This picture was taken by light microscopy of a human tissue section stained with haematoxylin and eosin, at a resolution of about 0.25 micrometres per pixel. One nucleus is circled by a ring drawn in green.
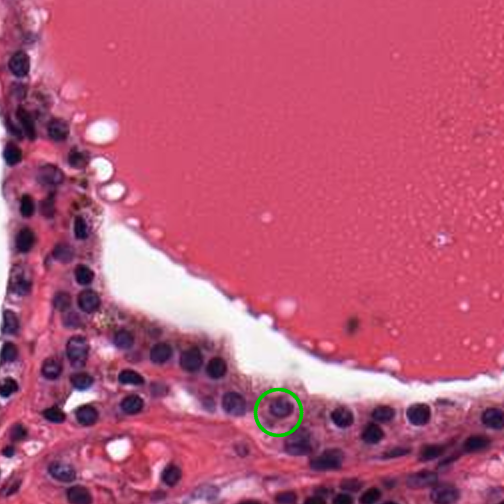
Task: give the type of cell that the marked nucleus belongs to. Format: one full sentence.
In this picture it is a thyroid follicular cell whose nucleus is marked.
